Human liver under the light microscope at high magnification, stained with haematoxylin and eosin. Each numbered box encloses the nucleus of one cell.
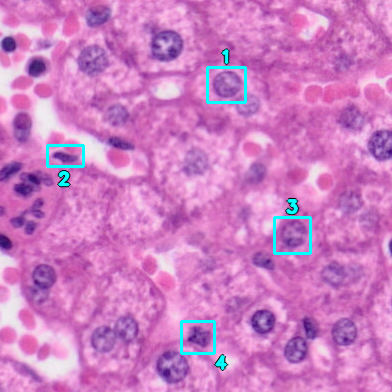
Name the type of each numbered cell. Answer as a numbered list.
1. hepatocyte
2. endothelial cell
3. hepatocyte
4. endothelial cell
